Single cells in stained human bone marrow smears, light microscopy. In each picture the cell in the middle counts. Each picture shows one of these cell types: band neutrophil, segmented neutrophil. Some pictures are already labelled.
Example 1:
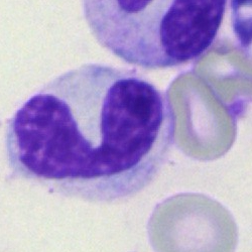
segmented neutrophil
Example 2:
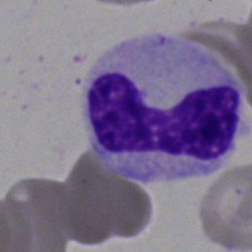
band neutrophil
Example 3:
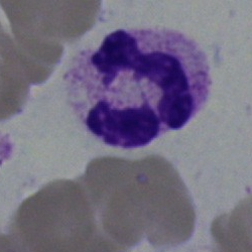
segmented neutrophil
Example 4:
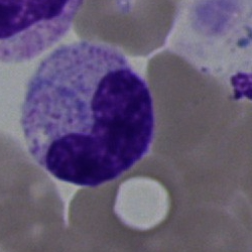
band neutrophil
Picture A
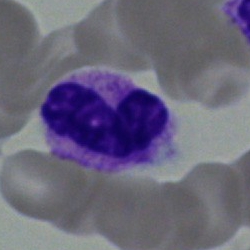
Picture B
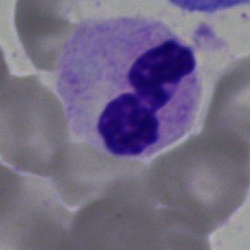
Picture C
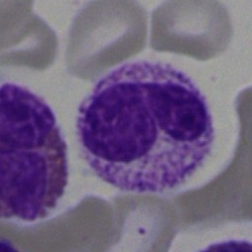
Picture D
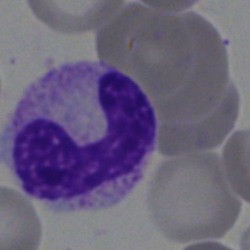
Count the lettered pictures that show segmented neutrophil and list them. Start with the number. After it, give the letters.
1, namely B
